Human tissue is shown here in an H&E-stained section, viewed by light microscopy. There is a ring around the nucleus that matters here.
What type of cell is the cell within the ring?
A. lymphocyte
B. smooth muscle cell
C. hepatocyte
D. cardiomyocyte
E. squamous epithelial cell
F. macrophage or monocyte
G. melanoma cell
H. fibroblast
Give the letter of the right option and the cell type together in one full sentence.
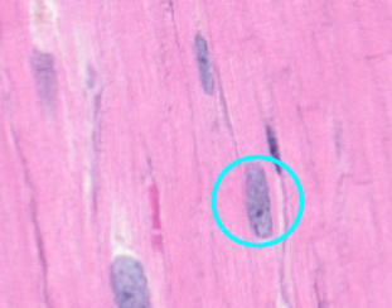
It is as option D has it, the cell within the ring being a cardiomyocyte.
